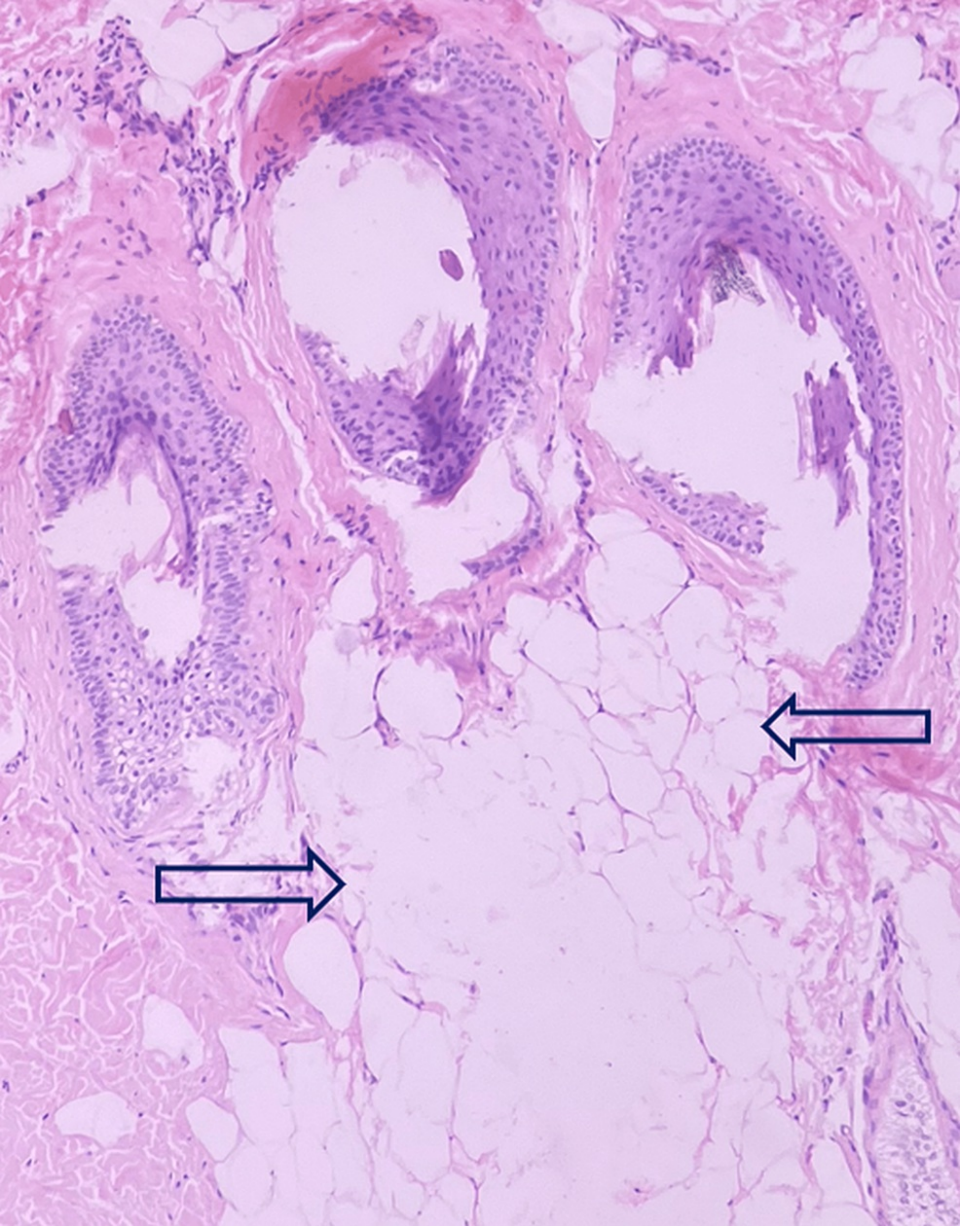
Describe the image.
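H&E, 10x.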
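The fat cells show up as clear, empty-looking spaces bounded by thin pink membranes. Their normal even honeycomb pattern is disturbed: the spaces are very unequal in size, and in places the thin walls are broken, so neighbouring cells run together into larger irregular spaces. Pink collagen-rich connective tissue with scattered purple nuclei surrounds the epithelial structures and borders the fat.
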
